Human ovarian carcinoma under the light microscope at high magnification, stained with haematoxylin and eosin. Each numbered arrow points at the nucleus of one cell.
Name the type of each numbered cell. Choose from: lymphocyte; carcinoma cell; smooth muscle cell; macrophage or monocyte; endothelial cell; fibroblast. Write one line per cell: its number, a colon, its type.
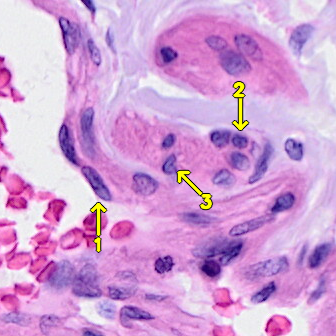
1: endothelial cell
2: smooth muscle cell
3: smooth muscle cell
